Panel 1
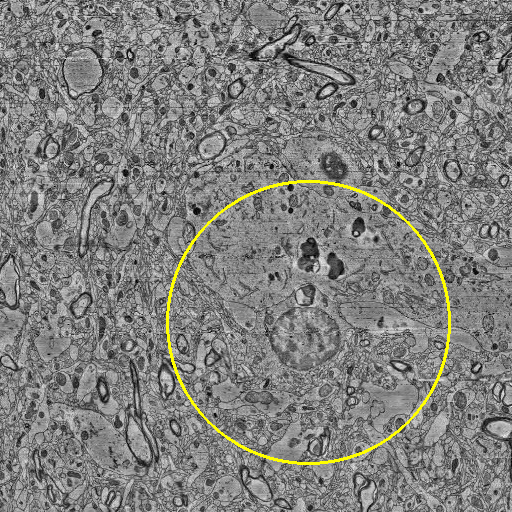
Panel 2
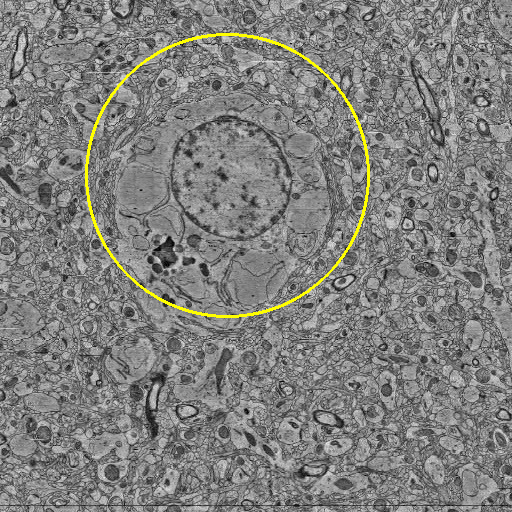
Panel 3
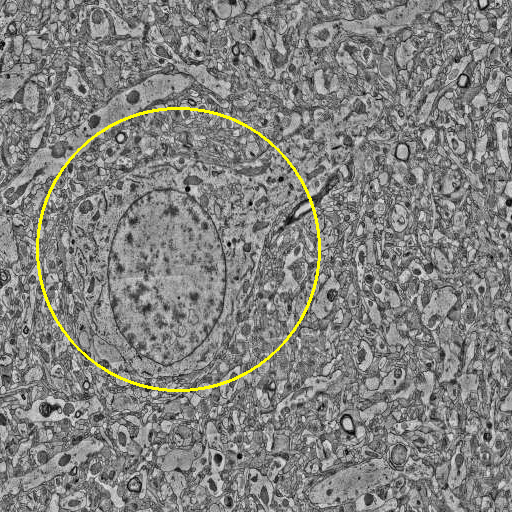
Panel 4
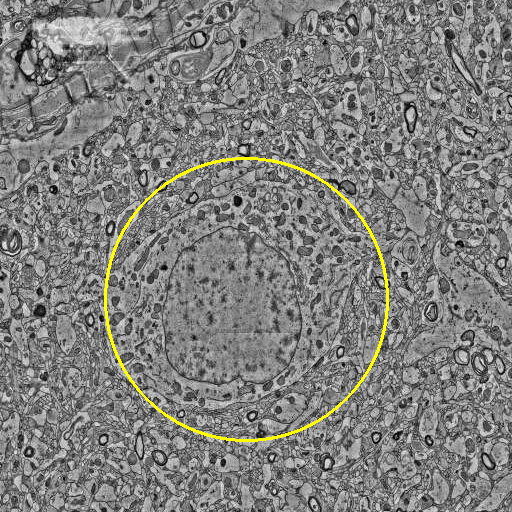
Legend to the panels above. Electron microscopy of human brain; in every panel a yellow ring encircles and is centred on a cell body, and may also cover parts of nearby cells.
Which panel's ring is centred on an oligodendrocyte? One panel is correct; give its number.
1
